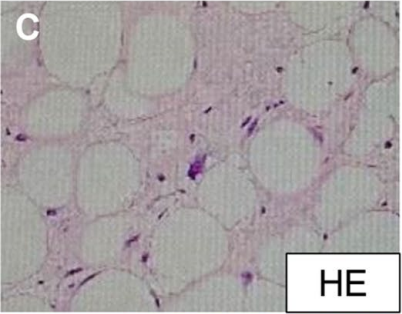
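Fatty tumor tissue made of mature adipocytes, seen as large round clear vacuoles of varying size bounded by thin pink membranes. Scattered between them lie a few cells with dark purple nuclei, some enlarged, irregular and hyperchromatic.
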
